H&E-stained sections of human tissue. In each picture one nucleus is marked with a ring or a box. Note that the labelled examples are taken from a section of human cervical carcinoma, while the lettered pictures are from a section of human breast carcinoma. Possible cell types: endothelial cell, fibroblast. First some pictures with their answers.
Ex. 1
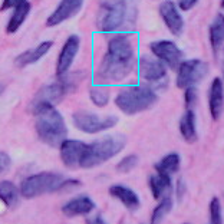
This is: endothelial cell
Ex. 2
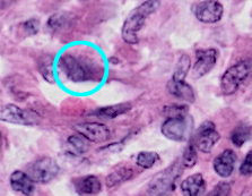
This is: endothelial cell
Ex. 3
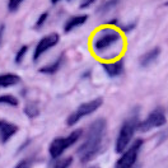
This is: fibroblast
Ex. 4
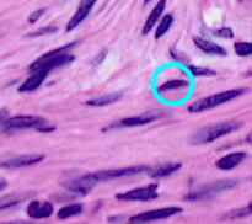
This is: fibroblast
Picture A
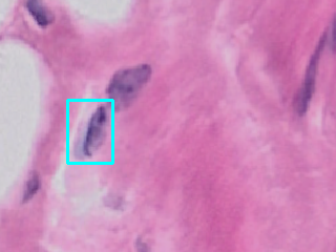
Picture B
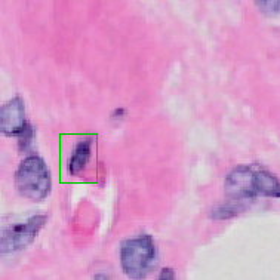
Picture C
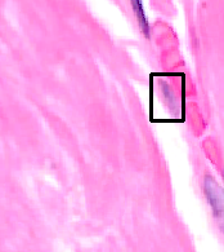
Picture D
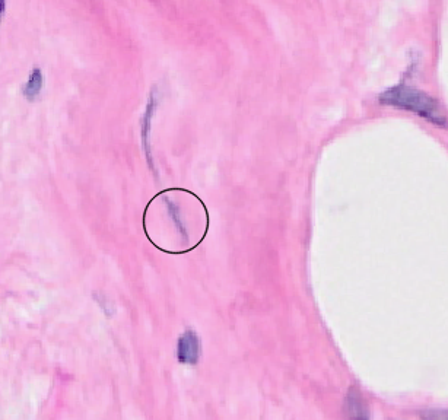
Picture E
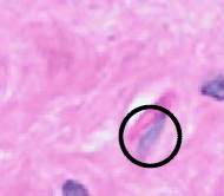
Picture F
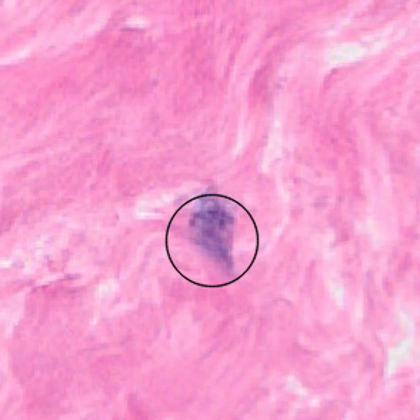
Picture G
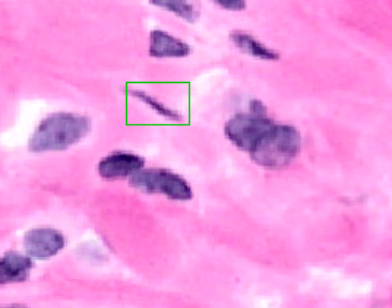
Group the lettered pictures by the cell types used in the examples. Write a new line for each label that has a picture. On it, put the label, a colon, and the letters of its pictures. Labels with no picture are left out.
endothelial cell: B, C, E
fibroblast: A, D, F, G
